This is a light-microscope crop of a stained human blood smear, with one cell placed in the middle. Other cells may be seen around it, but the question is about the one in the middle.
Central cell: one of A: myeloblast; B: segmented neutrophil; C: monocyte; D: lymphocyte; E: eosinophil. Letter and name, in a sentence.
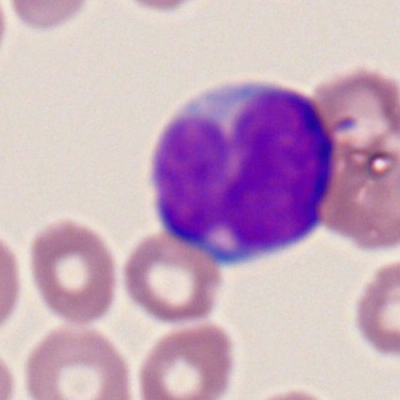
Option A, which names the central cell as a myeloblast, is correct.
